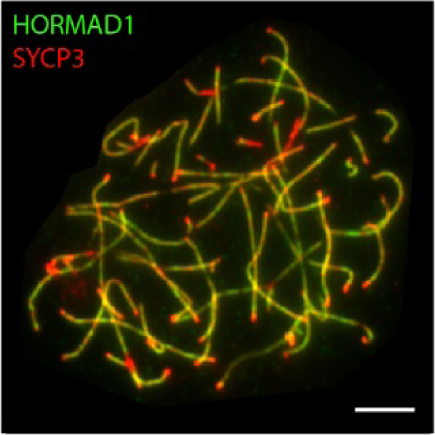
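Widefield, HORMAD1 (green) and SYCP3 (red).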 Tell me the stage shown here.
zygotene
